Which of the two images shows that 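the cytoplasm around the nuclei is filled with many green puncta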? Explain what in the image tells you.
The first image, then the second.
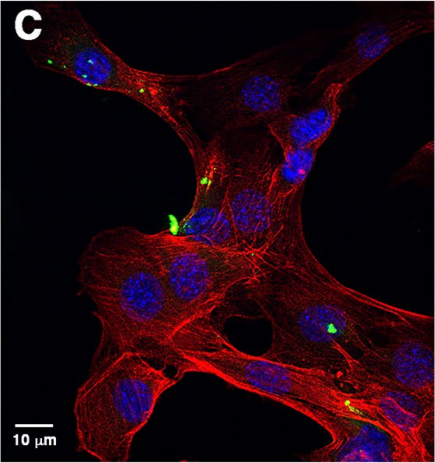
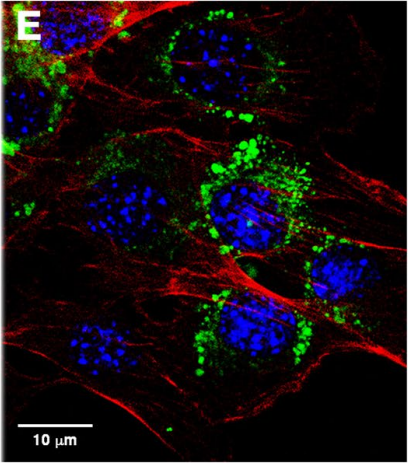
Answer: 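The second image. Second image: dense clusters of green dots surround most blue nuclei. First image: only a few isolated green spots, most cells show red and blue only.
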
